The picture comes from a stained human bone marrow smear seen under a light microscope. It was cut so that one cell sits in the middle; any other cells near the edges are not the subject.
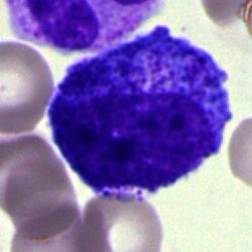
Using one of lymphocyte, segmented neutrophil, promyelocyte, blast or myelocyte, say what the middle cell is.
promyelocyte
